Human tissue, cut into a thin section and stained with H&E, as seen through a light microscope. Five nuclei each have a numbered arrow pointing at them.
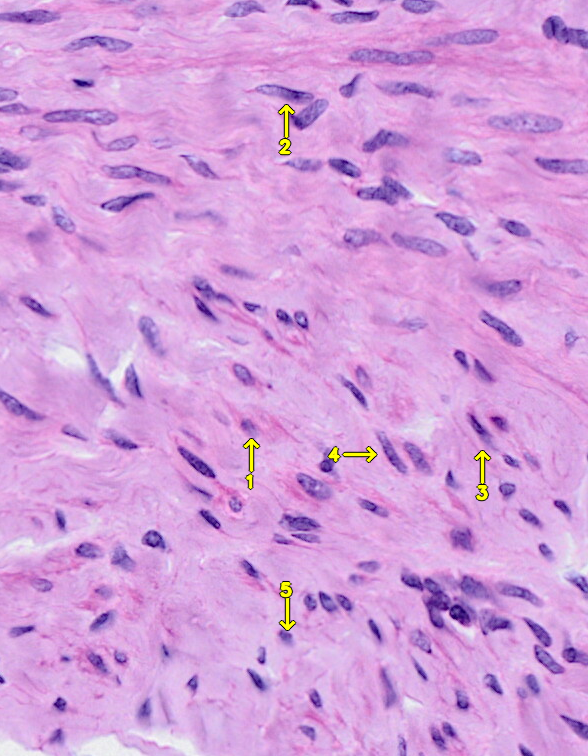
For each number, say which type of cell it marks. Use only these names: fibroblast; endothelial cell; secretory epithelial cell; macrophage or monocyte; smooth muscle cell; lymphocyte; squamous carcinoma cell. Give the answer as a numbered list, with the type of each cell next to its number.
1. smooth muscle cell
2. fibroblast
3. fibroblast
4. smooth muscle cell
5. fibroblast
